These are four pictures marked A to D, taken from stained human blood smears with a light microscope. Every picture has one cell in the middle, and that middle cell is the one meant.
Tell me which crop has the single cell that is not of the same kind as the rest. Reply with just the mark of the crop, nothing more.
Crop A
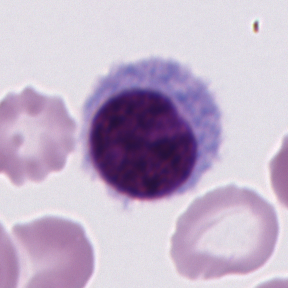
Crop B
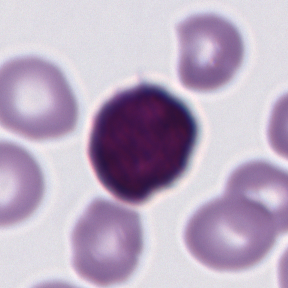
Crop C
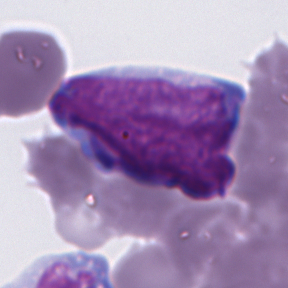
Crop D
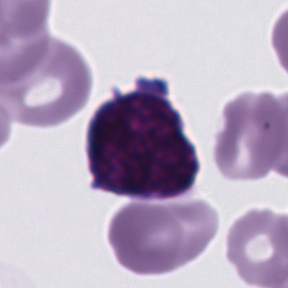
A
